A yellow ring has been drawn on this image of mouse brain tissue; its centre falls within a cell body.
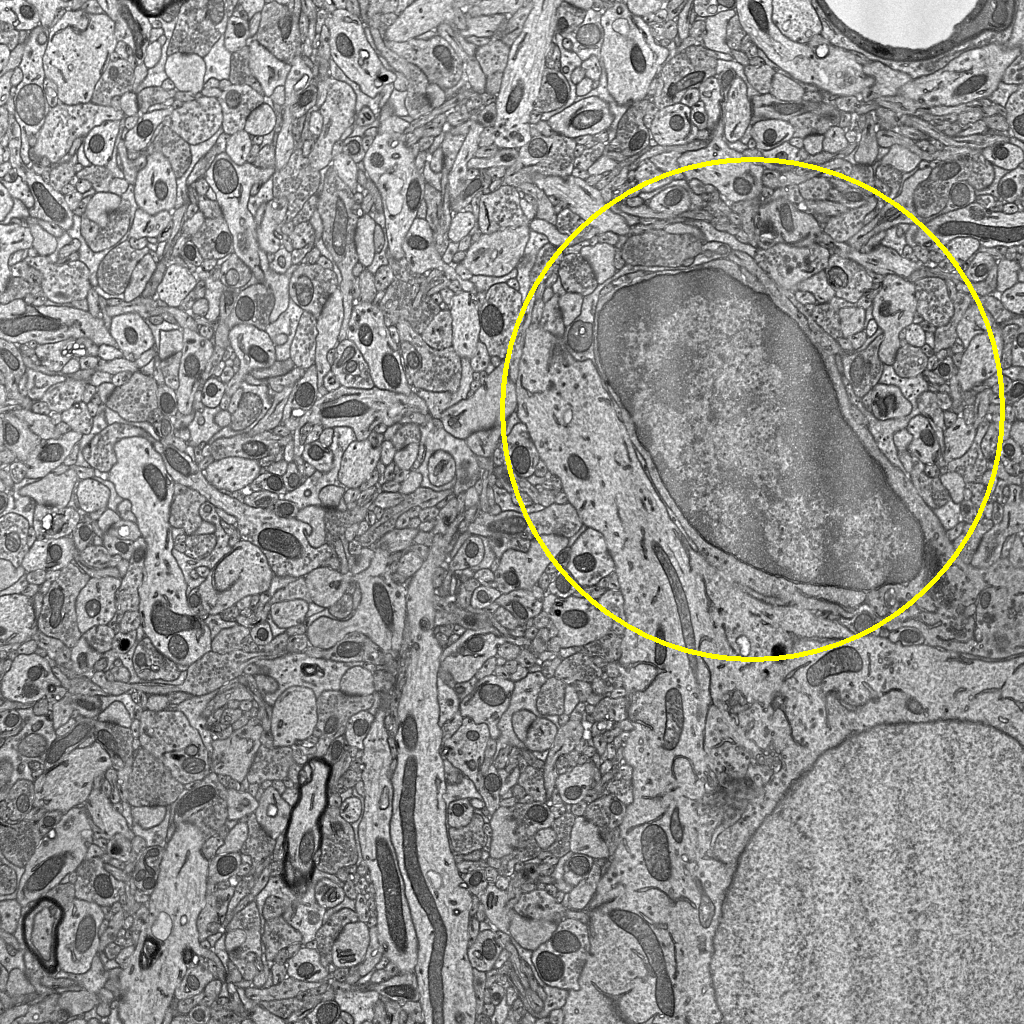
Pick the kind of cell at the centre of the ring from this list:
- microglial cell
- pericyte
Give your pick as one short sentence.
The centre of the ring holds a microglial cell.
